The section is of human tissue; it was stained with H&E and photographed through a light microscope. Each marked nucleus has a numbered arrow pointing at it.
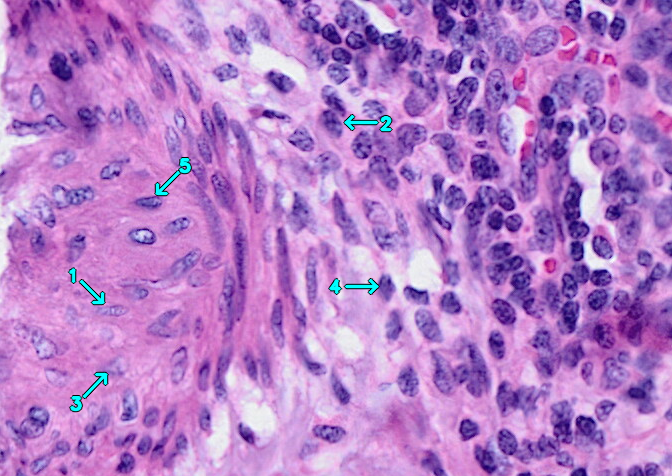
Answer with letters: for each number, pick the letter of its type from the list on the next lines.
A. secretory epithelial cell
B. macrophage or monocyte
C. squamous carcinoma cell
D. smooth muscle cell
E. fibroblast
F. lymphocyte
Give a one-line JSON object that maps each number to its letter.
{"1": "D", "2": "F", "3": "D", "4": "F", "5": "D"}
